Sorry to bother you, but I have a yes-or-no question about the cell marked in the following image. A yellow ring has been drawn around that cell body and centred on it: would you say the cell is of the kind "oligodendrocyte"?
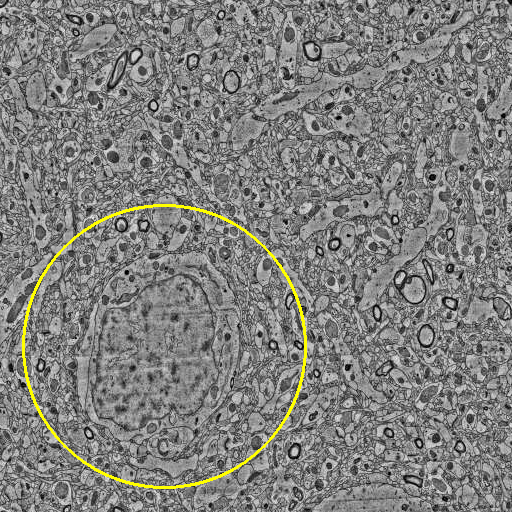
no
